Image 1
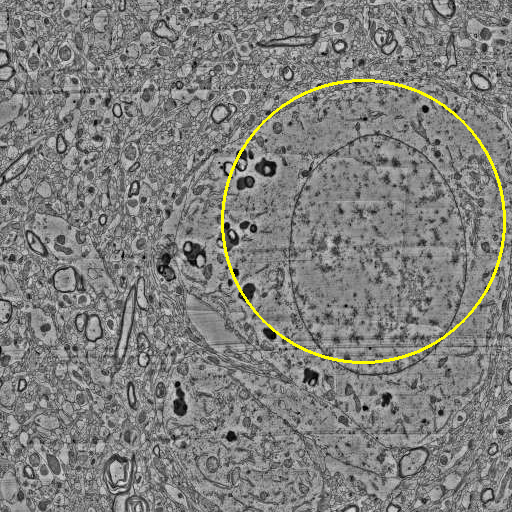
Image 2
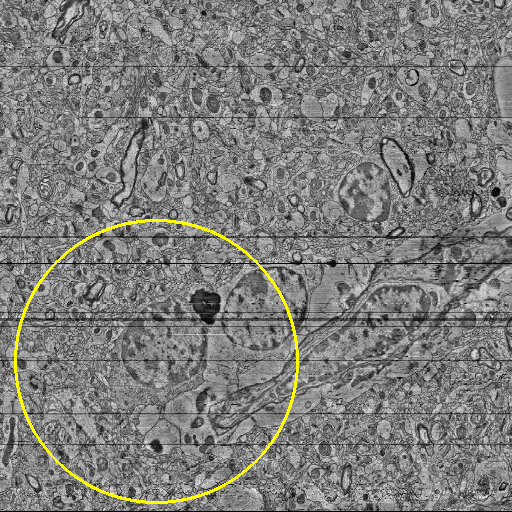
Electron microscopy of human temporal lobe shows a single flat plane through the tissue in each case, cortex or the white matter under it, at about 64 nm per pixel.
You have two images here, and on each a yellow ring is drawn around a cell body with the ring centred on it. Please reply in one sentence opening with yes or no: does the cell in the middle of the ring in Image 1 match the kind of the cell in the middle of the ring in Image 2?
No, the two images show cells of two kinds at the centres of their rings.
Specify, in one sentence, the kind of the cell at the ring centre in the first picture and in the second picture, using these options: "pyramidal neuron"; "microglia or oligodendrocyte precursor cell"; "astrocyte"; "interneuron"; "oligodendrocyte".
So the first is a pyramidal neuron, the second an oligodendrocyte.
